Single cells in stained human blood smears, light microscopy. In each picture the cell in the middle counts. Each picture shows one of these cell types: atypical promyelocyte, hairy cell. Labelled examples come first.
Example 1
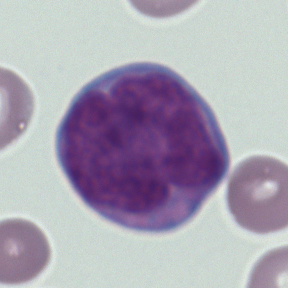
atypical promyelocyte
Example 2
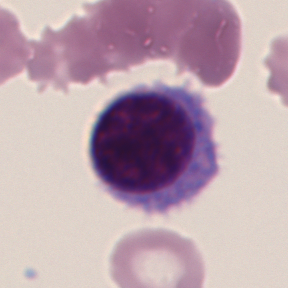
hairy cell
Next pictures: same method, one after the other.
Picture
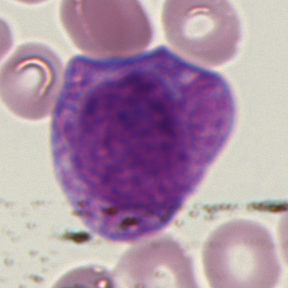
atypical promyelocyte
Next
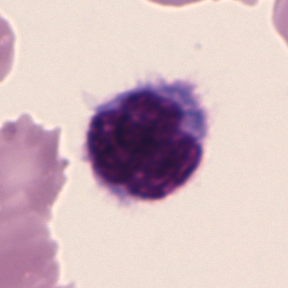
hairy cell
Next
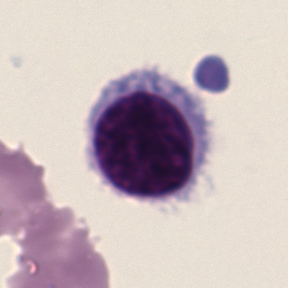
hairy cell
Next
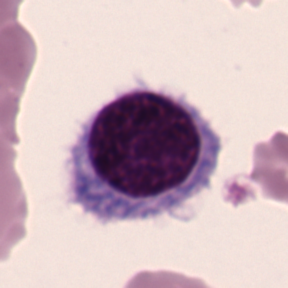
hairy cell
